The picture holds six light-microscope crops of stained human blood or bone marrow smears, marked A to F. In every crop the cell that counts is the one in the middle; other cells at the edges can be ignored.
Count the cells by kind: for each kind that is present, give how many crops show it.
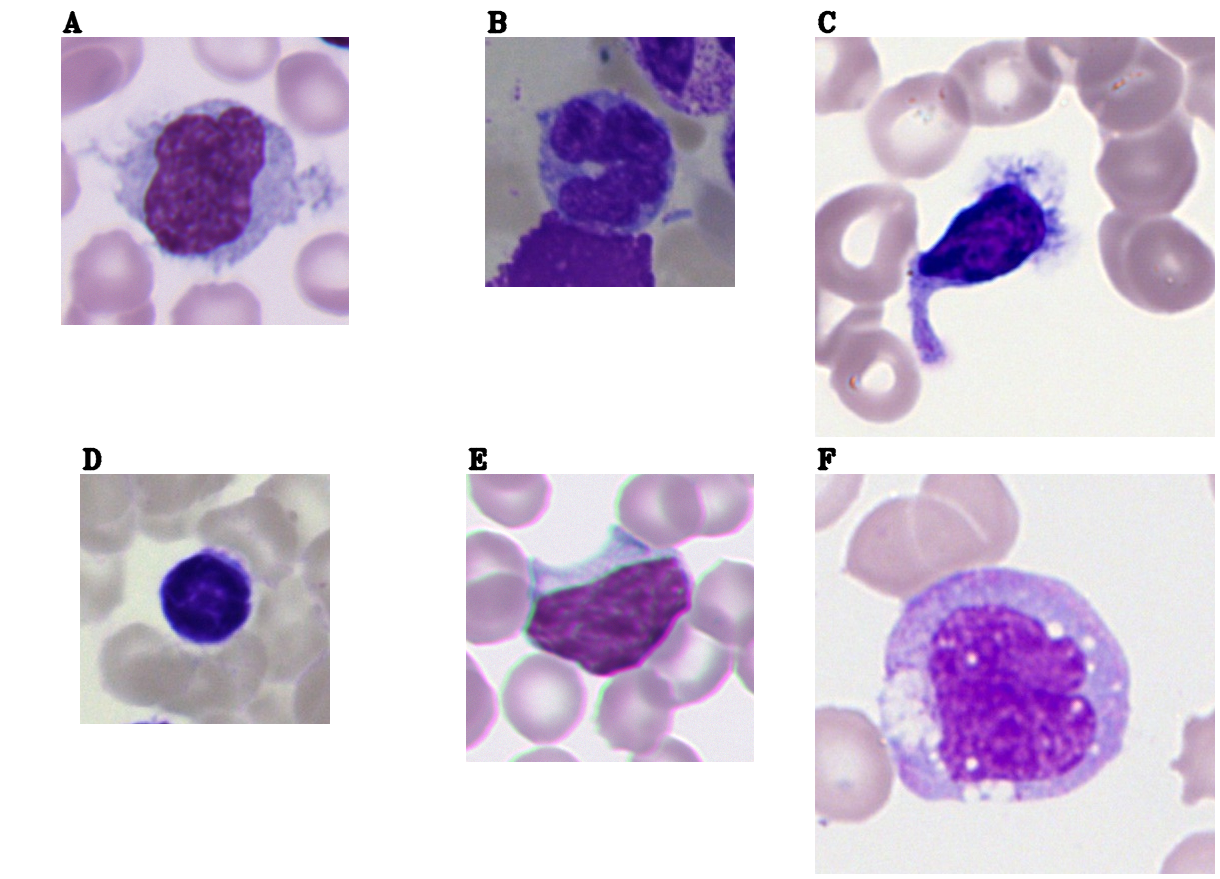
monocyte: 3
lymphocyte: 3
